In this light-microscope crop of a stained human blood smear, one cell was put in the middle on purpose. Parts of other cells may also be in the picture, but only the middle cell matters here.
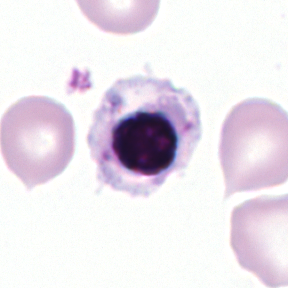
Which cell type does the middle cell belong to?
normoblast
